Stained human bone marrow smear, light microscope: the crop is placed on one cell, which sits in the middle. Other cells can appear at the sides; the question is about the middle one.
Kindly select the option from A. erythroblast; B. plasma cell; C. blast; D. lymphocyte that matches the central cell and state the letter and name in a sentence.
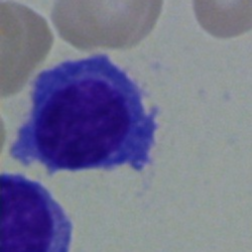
That cell in the center is a plasma cell, hence option B.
